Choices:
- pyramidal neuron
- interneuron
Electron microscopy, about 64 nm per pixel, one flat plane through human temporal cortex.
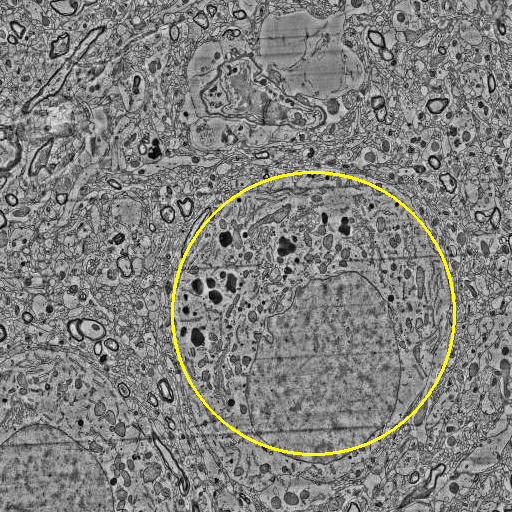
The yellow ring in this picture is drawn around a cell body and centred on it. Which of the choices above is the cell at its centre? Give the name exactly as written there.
interneuron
